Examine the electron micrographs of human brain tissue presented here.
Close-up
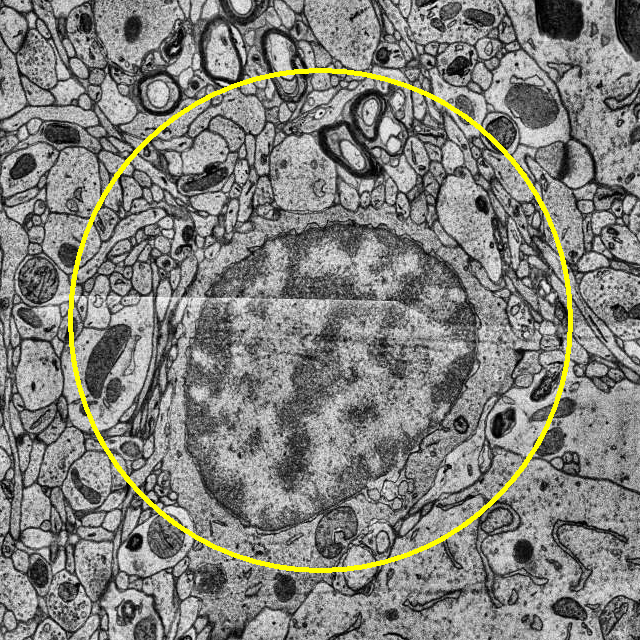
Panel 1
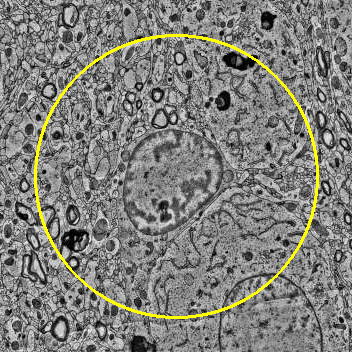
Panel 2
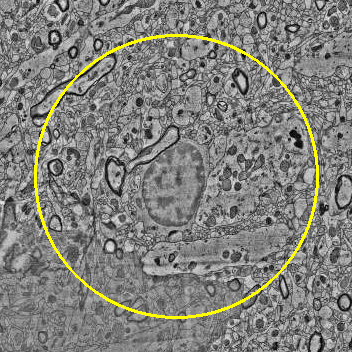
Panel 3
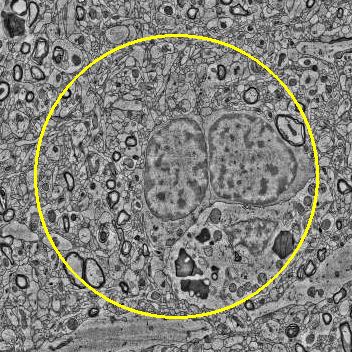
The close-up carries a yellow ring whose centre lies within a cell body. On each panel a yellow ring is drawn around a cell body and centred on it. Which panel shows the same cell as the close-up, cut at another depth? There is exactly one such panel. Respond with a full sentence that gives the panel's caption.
The encircled cell in Panel 1 is the cell in the close-up.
